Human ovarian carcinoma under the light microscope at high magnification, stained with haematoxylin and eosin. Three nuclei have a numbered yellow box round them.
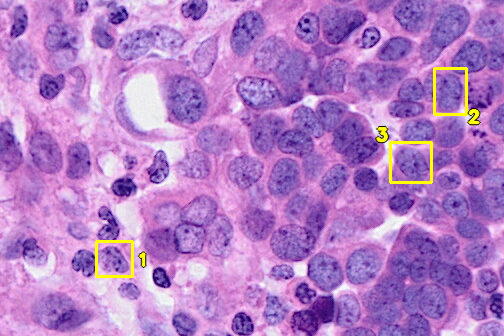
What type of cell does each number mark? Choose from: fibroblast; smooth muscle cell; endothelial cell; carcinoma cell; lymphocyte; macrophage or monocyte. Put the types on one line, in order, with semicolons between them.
macrophage or monocyte; carcinoma cell; carcinoma cell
